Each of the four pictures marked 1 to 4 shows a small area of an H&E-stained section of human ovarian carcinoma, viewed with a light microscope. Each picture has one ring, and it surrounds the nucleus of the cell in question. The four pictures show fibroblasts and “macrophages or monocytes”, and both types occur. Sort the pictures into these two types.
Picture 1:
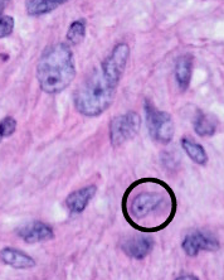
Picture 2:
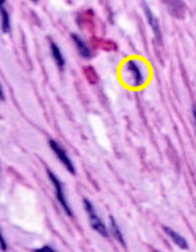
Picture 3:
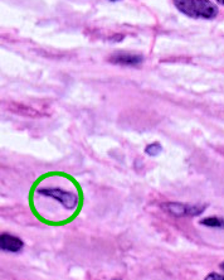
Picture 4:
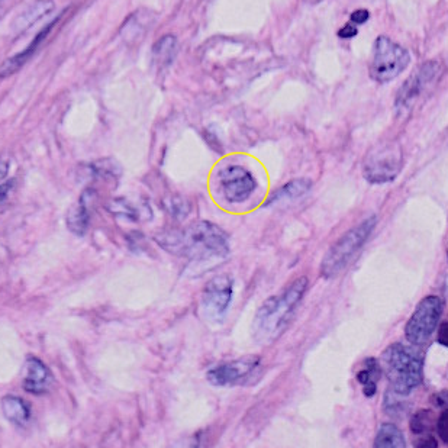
1: fibroblast
2: fibroblast
3: macrophage or monocyte
4: macrophage or monocyte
